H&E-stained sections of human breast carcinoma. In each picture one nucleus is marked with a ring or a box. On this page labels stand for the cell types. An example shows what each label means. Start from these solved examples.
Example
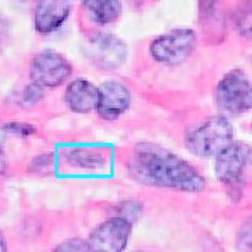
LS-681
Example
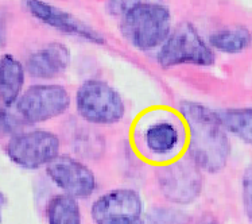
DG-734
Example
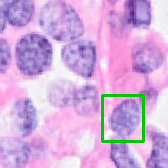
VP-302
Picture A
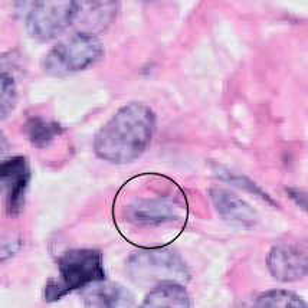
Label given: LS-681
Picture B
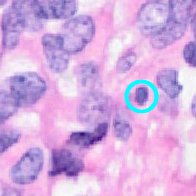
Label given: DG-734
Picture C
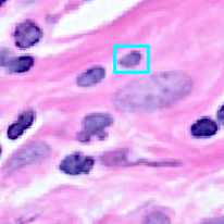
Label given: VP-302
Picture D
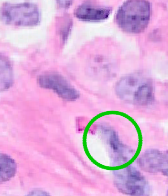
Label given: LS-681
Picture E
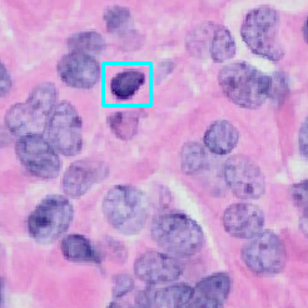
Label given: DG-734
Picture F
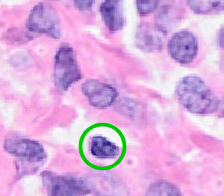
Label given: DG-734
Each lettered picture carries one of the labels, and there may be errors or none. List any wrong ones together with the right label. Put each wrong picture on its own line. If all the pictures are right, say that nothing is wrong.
C: DG-734, not VP-302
